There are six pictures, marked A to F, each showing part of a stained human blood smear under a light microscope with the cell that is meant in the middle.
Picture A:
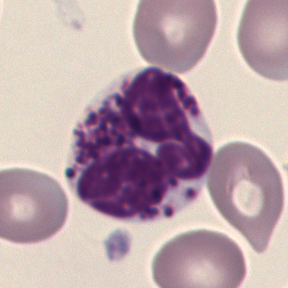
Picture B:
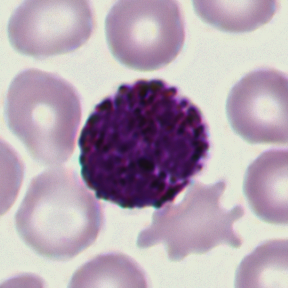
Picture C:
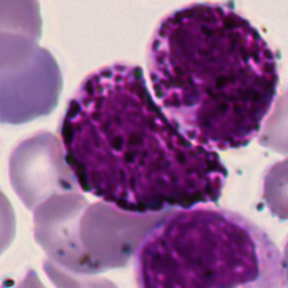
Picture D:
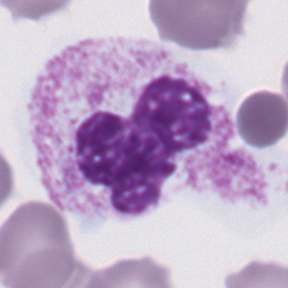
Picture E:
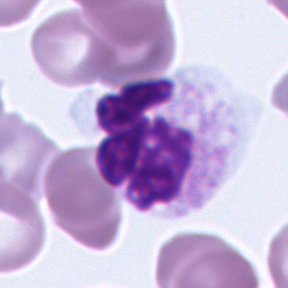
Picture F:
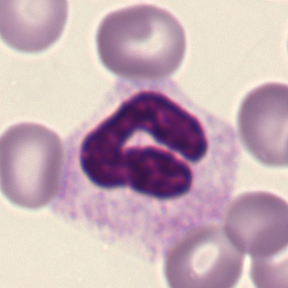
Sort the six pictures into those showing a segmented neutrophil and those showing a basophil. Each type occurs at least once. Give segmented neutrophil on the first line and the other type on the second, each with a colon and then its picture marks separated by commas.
segmented neutrophil: D, E, F
basophil: A, B, C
